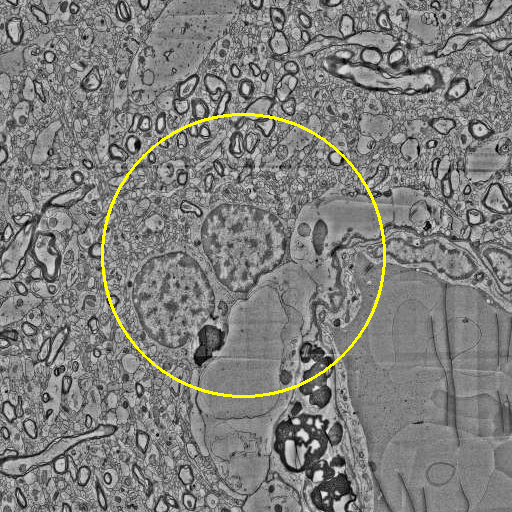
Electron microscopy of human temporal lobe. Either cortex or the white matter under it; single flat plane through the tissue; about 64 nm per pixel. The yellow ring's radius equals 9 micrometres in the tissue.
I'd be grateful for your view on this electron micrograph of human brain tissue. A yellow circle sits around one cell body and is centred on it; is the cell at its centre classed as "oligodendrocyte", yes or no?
yes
